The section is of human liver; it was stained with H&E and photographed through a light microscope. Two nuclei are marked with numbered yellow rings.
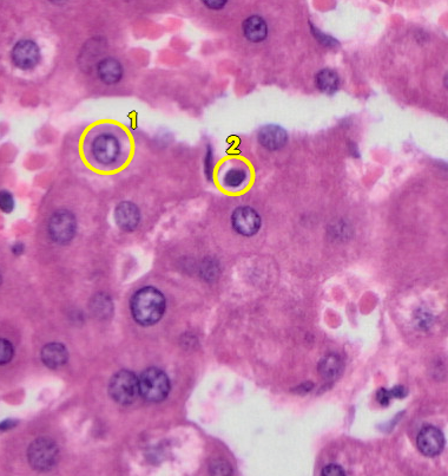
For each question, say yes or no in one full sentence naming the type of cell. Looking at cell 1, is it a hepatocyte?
Yes, within this section, cell number 1 is a hepatocyte.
